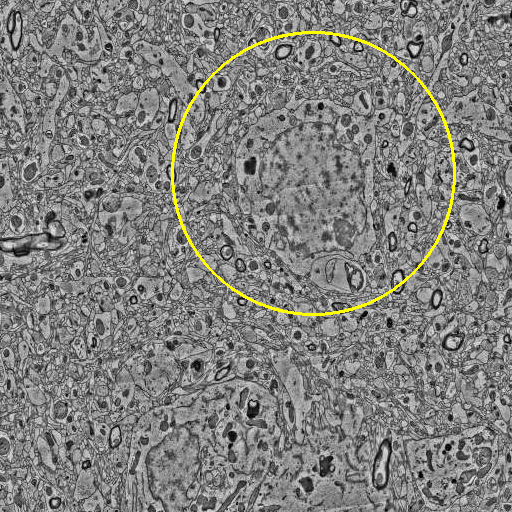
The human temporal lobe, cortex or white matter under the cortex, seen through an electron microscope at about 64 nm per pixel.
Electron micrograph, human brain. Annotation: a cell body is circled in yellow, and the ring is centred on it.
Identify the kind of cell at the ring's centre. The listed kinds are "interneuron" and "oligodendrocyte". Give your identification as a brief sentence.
The circled cell body is that of an interneuron.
